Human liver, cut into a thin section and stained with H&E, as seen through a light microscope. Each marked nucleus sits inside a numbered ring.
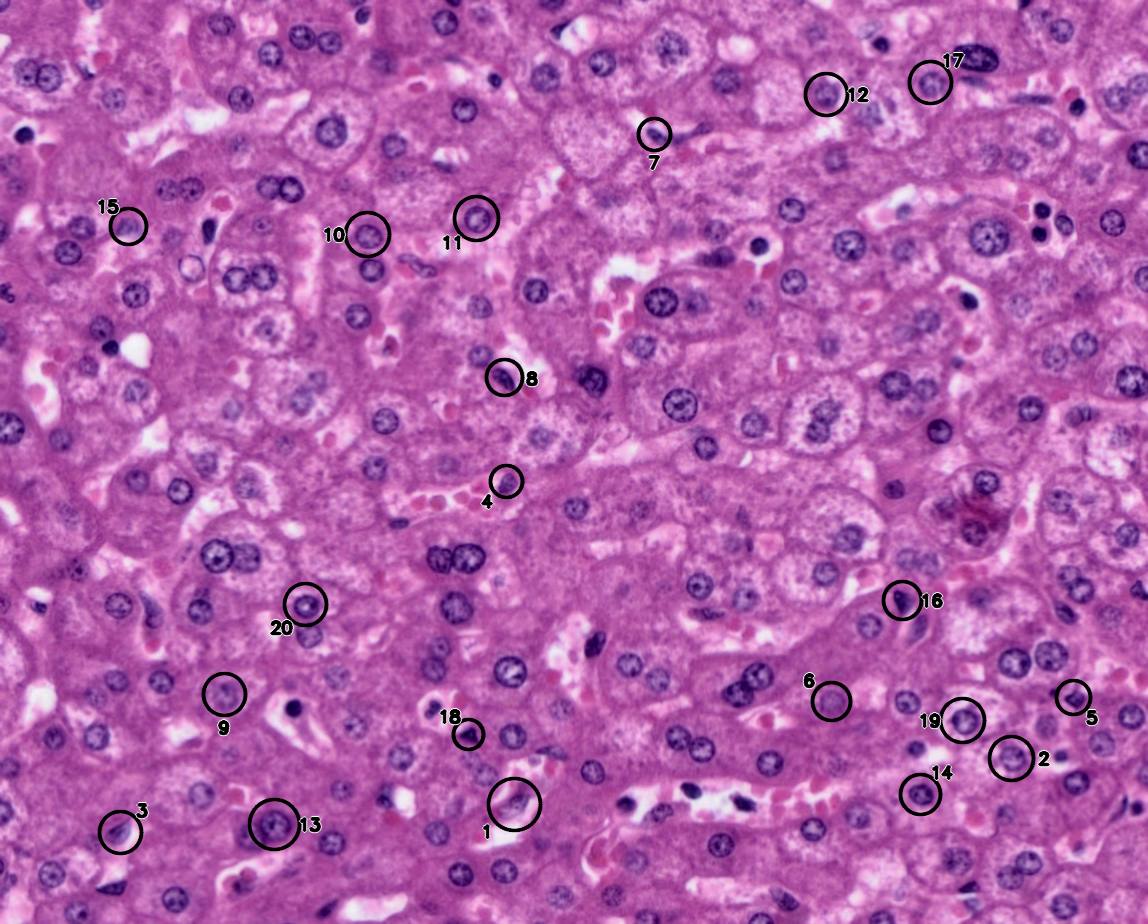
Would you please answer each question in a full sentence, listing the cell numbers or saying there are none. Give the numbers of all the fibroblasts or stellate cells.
The cells that bear the numbers 5, 8, 16 and 18 are fibroblasts or stellate cells.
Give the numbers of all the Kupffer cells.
In this section, the cells numbered 1 and 4 are Kupffer cells.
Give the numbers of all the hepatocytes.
The cells with the numbers 2, 6, 9, 10, 11, 12, 13, 14, 17, 19 and 20 are hepatocytes.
